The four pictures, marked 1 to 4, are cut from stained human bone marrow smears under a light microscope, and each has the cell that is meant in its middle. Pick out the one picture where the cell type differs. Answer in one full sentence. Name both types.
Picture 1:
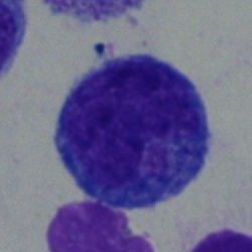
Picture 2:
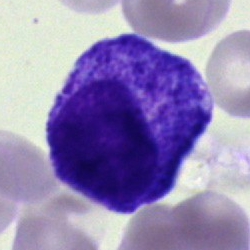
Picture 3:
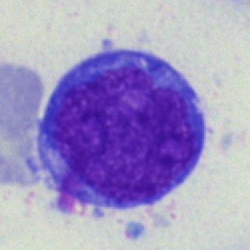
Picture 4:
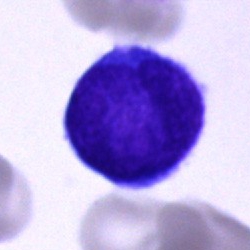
Unlike the rest, which show blasts, picture 2 shows a promyelocyte.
